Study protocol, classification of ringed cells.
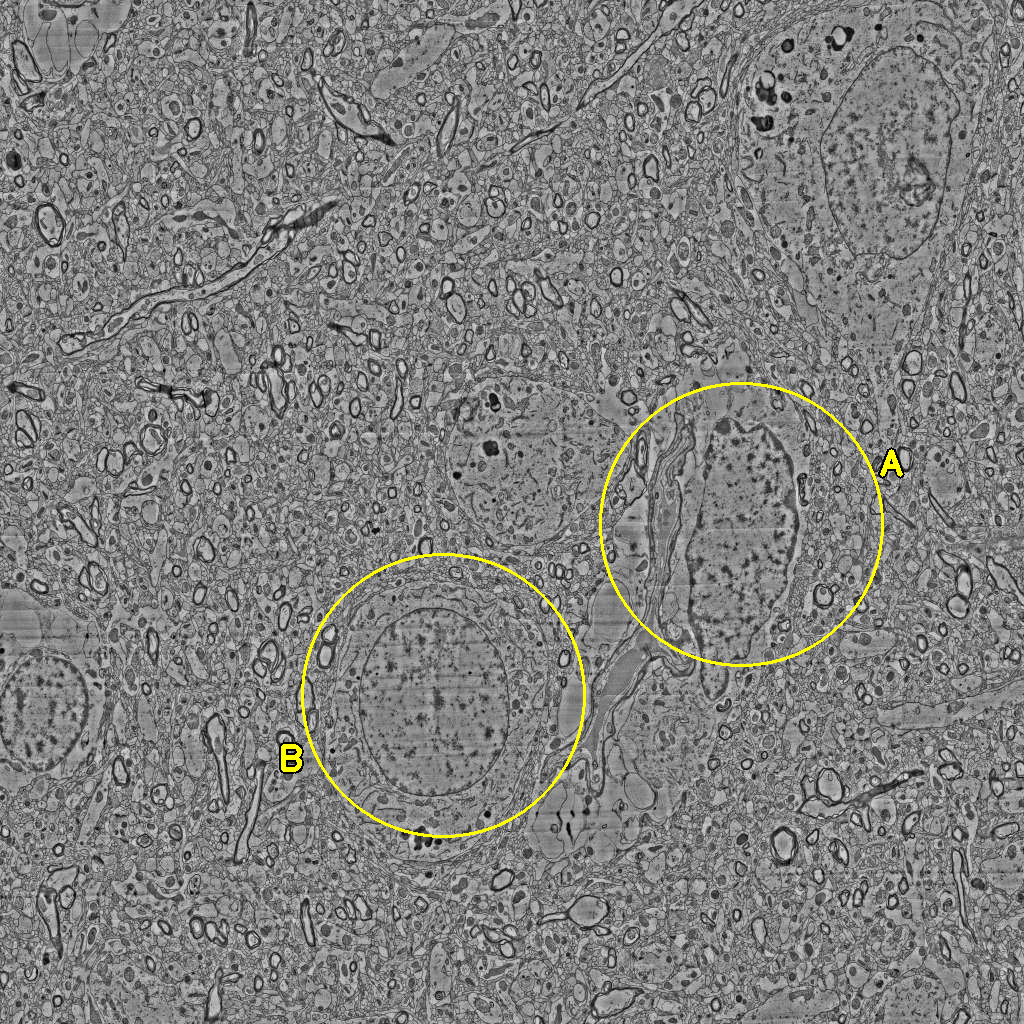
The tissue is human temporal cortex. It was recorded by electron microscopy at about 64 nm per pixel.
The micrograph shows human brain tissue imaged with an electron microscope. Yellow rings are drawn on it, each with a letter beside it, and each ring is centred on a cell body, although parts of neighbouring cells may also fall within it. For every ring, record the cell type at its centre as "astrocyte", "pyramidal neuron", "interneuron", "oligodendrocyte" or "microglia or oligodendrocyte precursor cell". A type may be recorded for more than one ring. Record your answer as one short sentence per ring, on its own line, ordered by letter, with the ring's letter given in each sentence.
Ring A has been centred on a microglial cell or oligodendrocyte precursor cell.
Ring B has been centred on a pyramidal neuron.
